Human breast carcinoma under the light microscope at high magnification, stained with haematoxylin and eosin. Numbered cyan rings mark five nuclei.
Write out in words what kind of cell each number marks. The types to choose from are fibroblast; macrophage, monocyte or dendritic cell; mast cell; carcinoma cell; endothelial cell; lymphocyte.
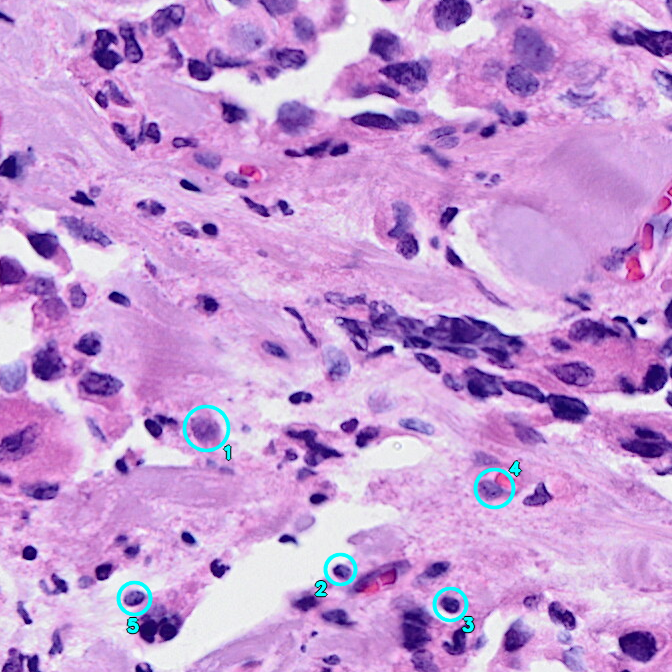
Cell 1 is a fibroblast, cell 2 is a lymphocyte, cell 3 is a lymphocyte, cell 4 is an endothelial cell and cell 5 is a lymphocyte.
